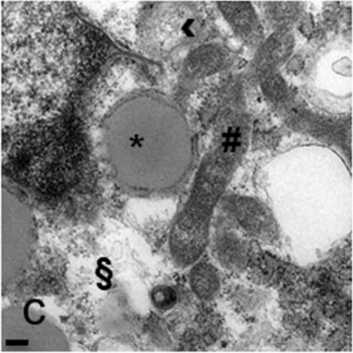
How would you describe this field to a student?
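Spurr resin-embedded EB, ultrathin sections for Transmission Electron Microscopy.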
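Cytoplasm at high magnification is rich in organelles: elongated, branching mitochondria with cristae, scattered free ribosomes and membranes of endoplasmic reticulum. A large round lipid granule with homogeneous grey content, bounded by a membrane, lies beside the mitochondria, and pale vacuoles are nearby.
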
